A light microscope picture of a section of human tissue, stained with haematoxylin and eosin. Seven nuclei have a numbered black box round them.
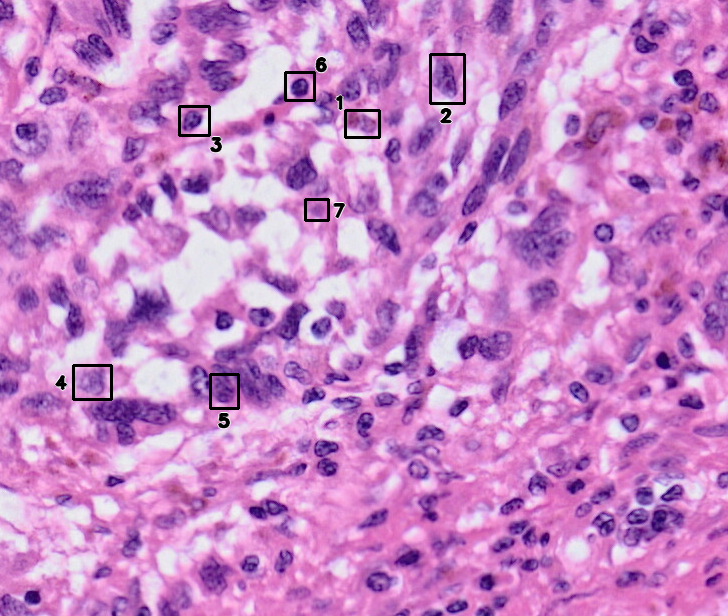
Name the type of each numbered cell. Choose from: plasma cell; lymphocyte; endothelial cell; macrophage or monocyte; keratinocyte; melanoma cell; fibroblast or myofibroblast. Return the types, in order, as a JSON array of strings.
["macrophage or monocyte", "melanoma cell", "lymphocyte", "melanoma cell", "melanoma cell", "lymphocyte", "melanoma cell"]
